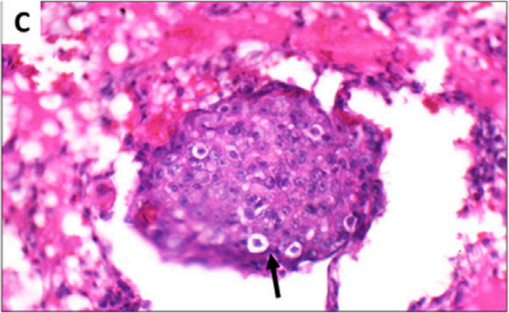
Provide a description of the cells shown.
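A rounded clump of tumour cells lies within a vascular space in the lung, surrounded by alveolar tissue. The clump is made of densely packed polygonal cells with round to oval nuclei and purple-staining cytoplasm. A few cells show small clear, vacuole-like spaces. A clear gap separates much of the clump from the surrounding wall. The lung around it shows thin alveolar walls and pink material with red blood cells.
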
